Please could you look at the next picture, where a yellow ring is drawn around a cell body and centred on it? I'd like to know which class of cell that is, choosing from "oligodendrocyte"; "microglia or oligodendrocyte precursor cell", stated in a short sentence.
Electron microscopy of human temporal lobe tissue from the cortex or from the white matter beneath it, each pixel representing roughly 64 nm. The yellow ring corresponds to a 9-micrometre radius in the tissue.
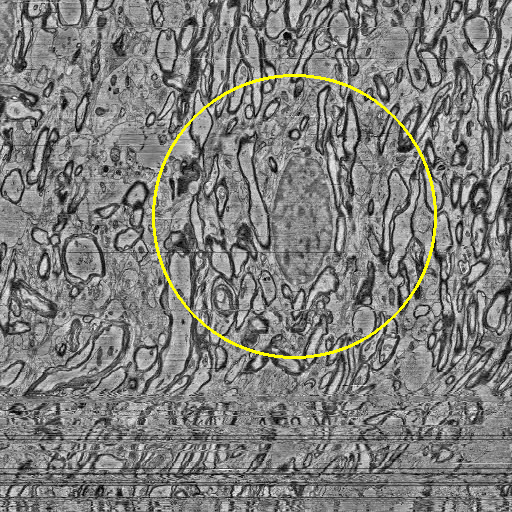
The ring's centre lies on an oligodendrocyte.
